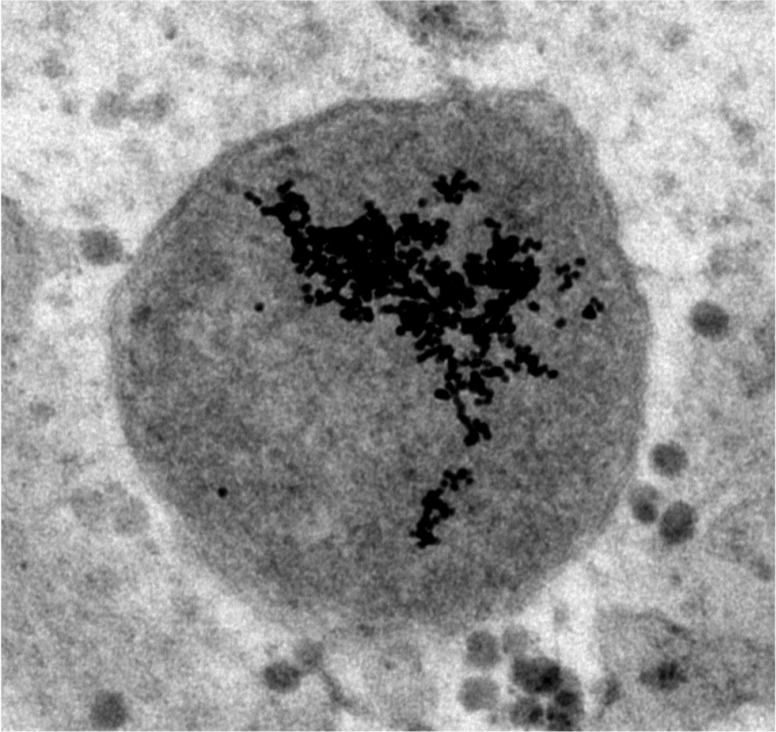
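A large round electron-dense lysosome with a fairly uniform dark grey matrix and a bounding membrane. Several small dark round vesicles lie outside it in the surrounding cytoplasm.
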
